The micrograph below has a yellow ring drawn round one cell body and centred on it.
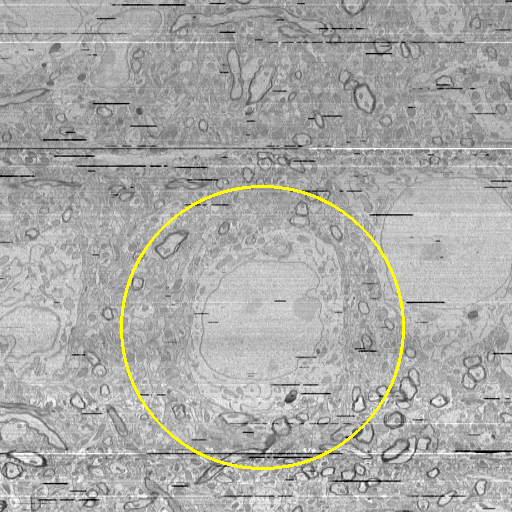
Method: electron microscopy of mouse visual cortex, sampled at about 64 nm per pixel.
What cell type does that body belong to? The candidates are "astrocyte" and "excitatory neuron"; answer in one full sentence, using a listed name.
This is an excitatory neuron, the cell whose body lies at the centre of the ring.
